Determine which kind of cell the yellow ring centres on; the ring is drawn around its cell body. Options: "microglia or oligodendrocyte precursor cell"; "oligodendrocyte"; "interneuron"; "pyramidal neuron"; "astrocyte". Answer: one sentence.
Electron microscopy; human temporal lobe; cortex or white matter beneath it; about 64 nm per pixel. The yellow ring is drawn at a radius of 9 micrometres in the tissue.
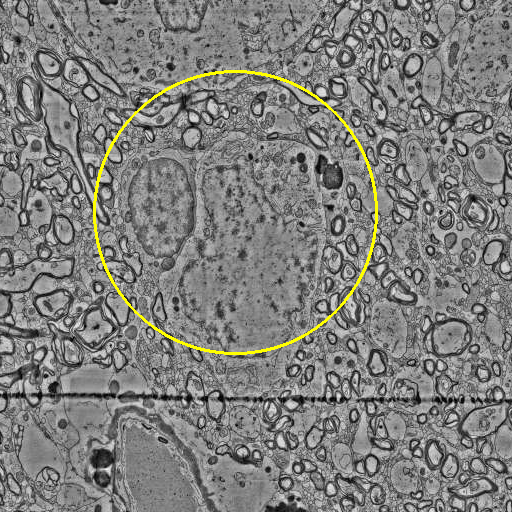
The ring centres on an interneuron.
